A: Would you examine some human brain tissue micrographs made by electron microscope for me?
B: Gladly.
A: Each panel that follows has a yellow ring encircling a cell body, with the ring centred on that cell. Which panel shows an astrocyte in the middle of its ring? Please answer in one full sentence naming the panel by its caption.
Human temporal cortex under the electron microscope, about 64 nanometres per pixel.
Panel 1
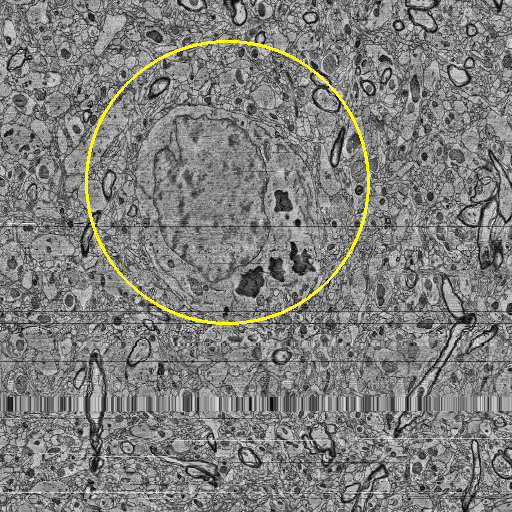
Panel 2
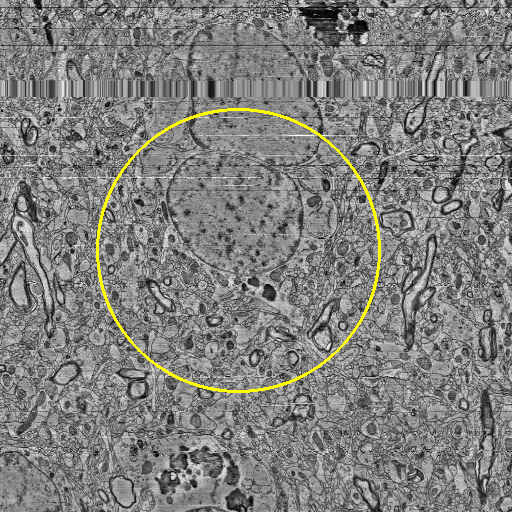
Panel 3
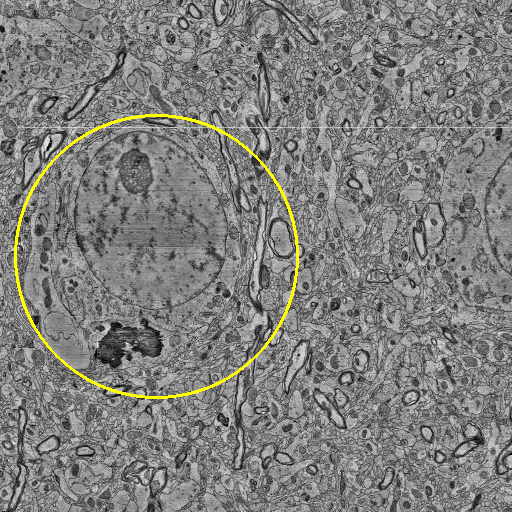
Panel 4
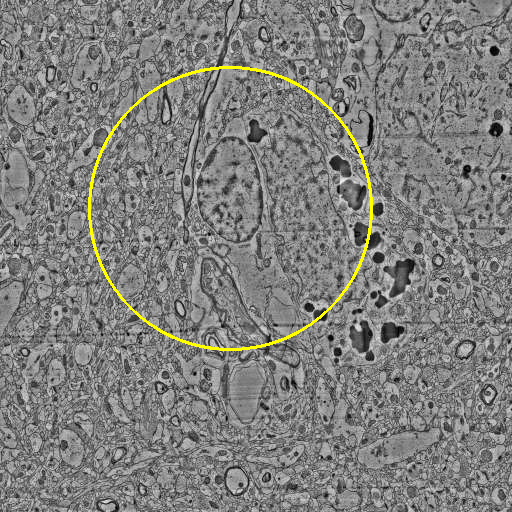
Panel 2 is where the ring sits centred on the requested cell.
